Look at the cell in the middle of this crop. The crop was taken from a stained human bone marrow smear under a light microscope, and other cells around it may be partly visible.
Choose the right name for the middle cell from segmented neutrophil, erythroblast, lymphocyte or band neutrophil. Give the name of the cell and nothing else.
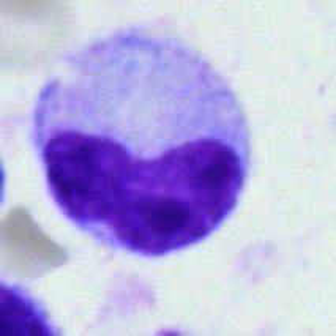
band neutrophil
